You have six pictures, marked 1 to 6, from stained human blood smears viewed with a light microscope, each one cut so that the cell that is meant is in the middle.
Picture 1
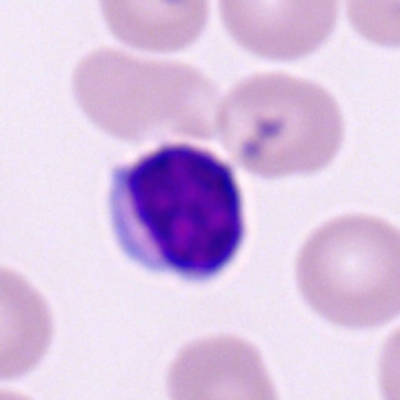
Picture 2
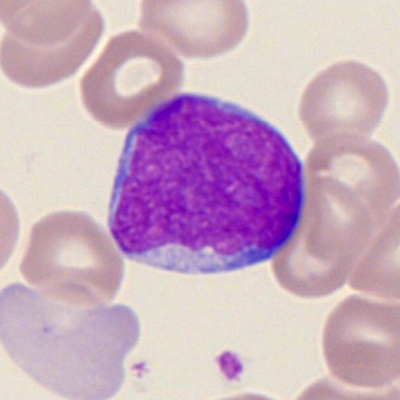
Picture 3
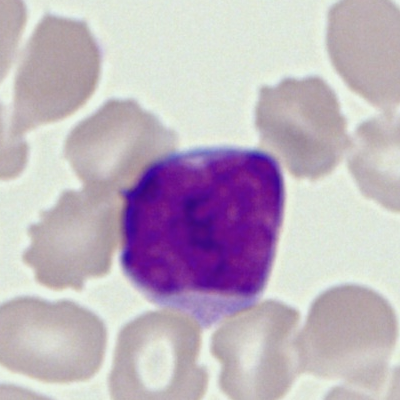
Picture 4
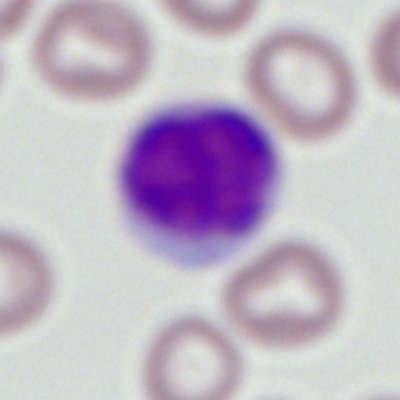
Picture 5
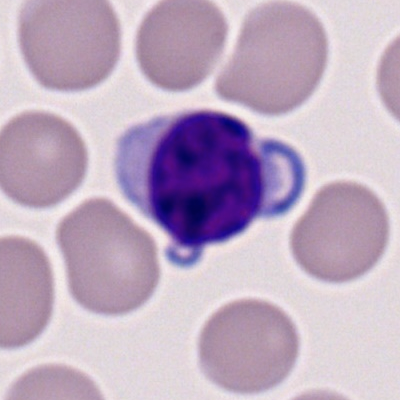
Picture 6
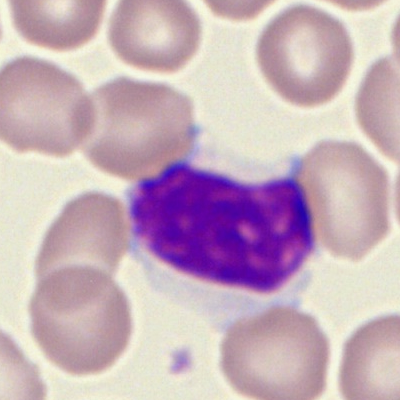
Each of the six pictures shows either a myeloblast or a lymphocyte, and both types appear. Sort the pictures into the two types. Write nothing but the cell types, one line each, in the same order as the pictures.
lymphocyte
myeloblast
myeloblast
lymphocyte
lymphocyte
lymphocyte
